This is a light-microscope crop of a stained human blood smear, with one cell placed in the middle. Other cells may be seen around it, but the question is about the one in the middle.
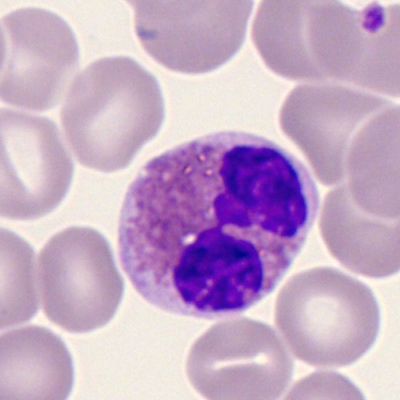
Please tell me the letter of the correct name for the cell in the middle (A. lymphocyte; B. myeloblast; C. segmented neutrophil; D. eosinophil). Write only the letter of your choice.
D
